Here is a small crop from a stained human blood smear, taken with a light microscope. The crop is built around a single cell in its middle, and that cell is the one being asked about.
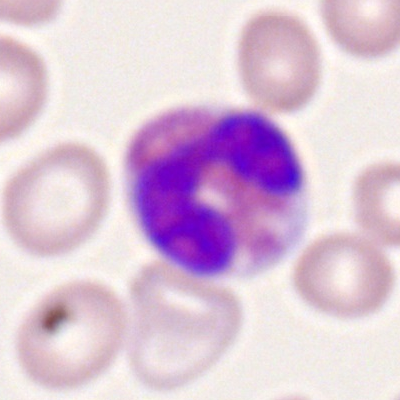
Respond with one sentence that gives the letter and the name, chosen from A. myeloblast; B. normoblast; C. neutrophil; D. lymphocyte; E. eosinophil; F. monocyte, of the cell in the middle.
Option E is correct, and the cell in the centre is an eosinophil.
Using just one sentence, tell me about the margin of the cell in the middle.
Nothing juts out from the margin, which is smooth throughout.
